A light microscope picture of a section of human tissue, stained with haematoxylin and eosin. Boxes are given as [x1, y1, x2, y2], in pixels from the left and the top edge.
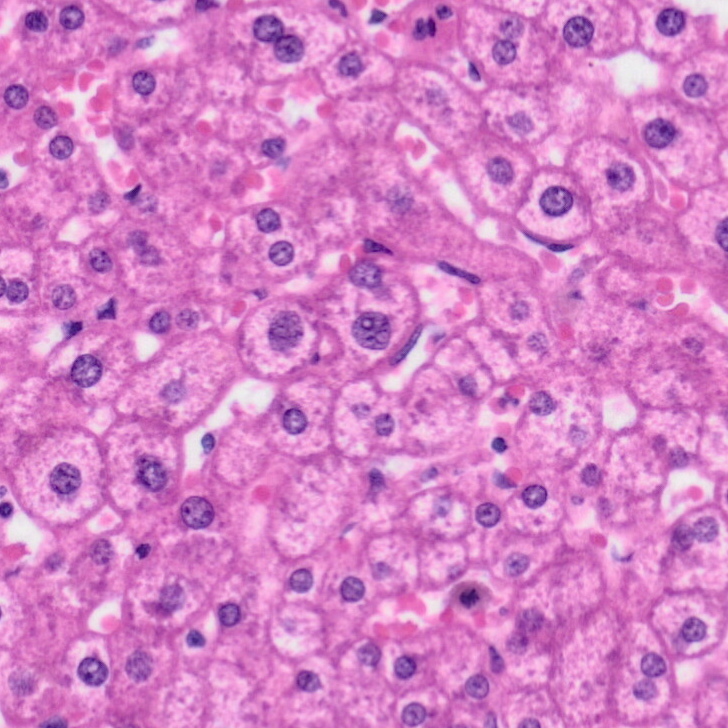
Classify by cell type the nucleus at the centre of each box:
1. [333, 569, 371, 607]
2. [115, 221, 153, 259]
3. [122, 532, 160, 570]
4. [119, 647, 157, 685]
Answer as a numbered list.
1. hepatocyte
2. hepatocyte
3. fibroblast or stellate cell
4. hepatocyte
